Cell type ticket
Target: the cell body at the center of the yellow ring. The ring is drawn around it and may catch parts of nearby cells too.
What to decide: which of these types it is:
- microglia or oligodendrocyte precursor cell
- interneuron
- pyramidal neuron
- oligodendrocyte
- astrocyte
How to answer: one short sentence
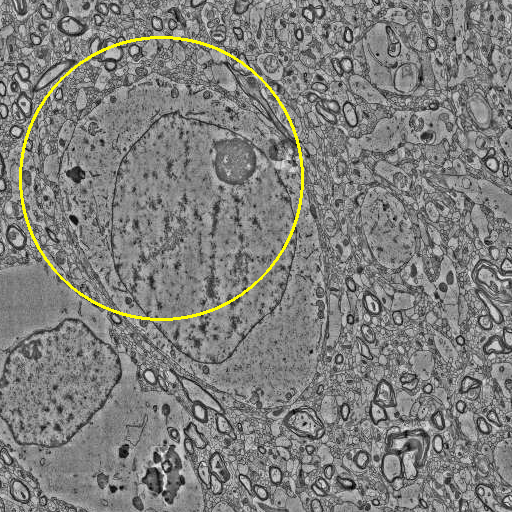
The cell at the center of the ring is a pyramidal neuron.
